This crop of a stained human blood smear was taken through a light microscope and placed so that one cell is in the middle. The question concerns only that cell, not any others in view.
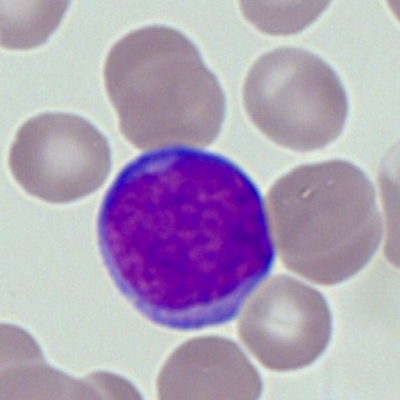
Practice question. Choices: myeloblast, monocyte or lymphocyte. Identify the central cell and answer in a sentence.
Centred in the crop is a myeloblast.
